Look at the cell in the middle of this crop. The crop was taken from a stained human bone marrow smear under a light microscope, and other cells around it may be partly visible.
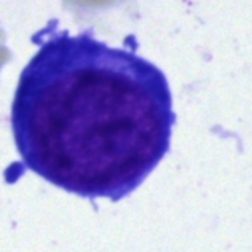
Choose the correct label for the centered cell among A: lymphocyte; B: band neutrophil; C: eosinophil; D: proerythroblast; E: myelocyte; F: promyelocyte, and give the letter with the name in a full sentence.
The cell in the middle is a proerythroblast, and so option D is correct.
